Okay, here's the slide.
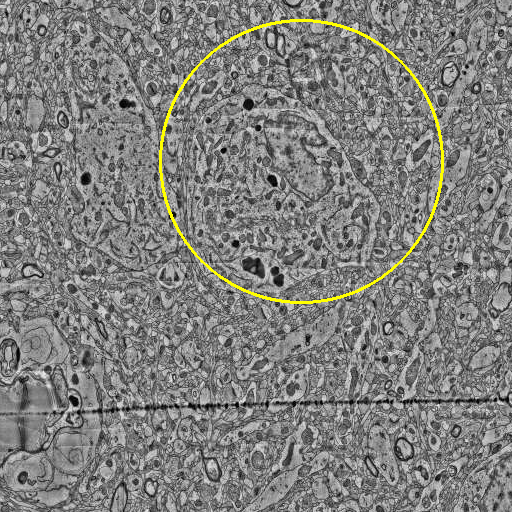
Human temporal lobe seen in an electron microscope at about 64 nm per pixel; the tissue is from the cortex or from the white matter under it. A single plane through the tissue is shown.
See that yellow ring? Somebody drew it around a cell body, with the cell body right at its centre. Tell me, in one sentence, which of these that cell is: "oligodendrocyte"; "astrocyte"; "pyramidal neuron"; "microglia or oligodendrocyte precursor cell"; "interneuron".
The cell in the middle of the ring is an interneuron.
